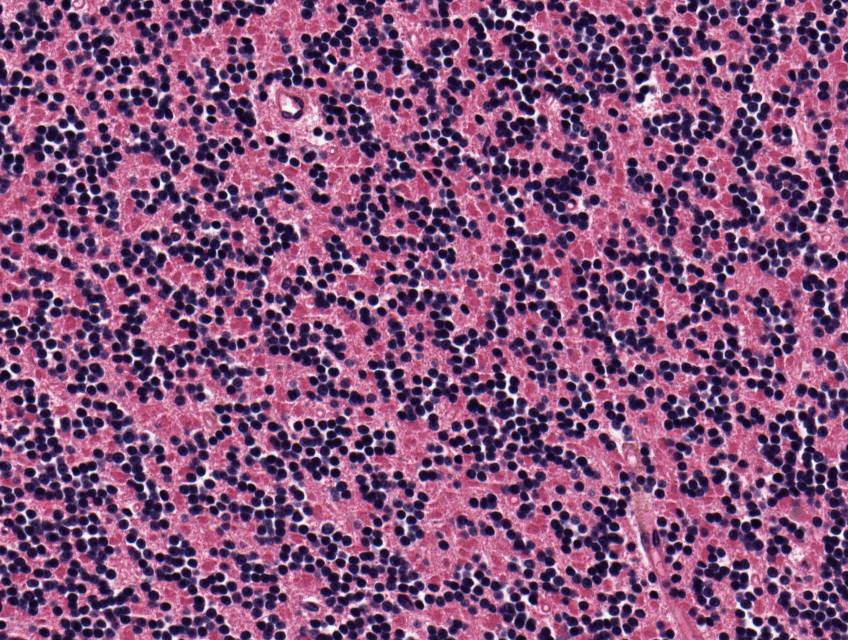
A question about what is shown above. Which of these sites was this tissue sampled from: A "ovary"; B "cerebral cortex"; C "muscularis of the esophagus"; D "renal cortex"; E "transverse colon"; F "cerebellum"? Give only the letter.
F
